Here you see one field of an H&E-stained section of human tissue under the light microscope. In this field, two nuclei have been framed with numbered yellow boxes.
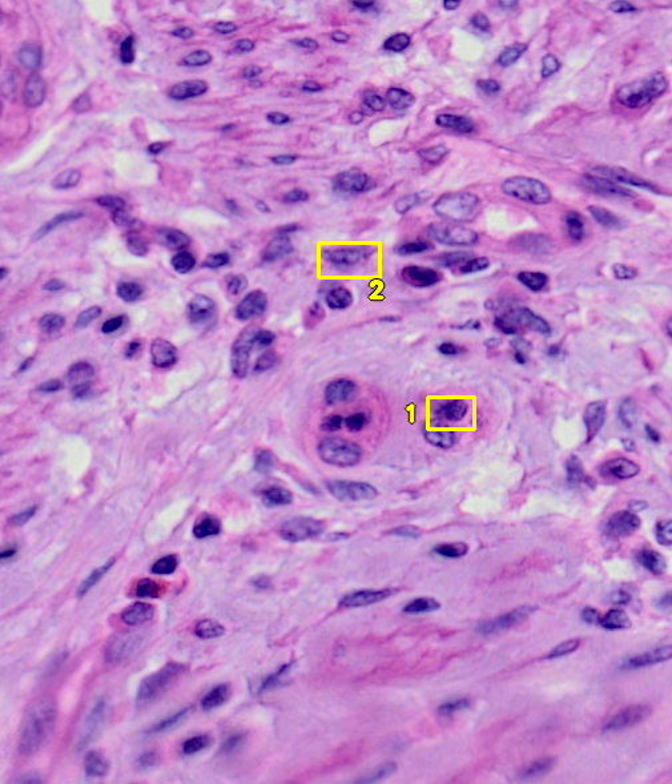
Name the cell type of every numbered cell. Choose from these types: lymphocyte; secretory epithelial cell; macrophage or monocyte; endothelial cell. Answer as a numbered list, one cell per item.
1. endothelial cell
2. macrophage or monocyte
